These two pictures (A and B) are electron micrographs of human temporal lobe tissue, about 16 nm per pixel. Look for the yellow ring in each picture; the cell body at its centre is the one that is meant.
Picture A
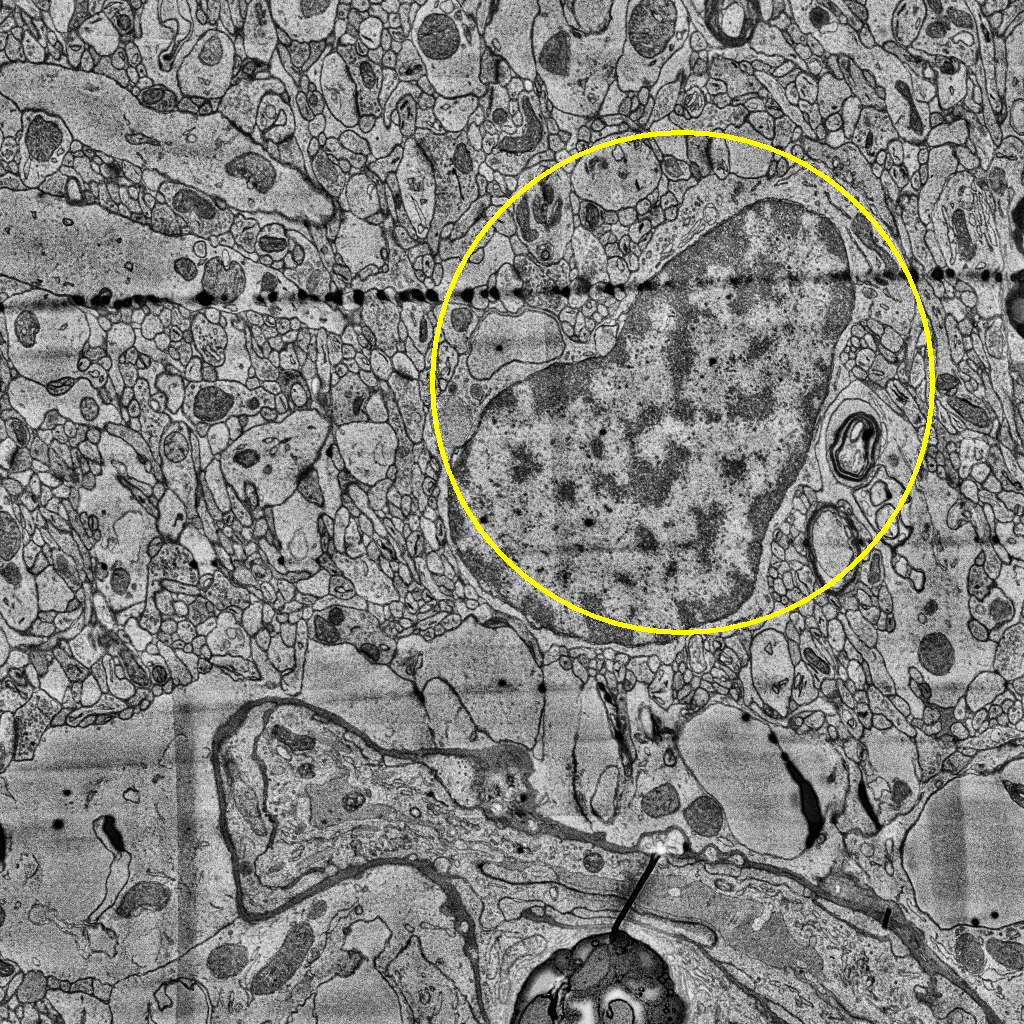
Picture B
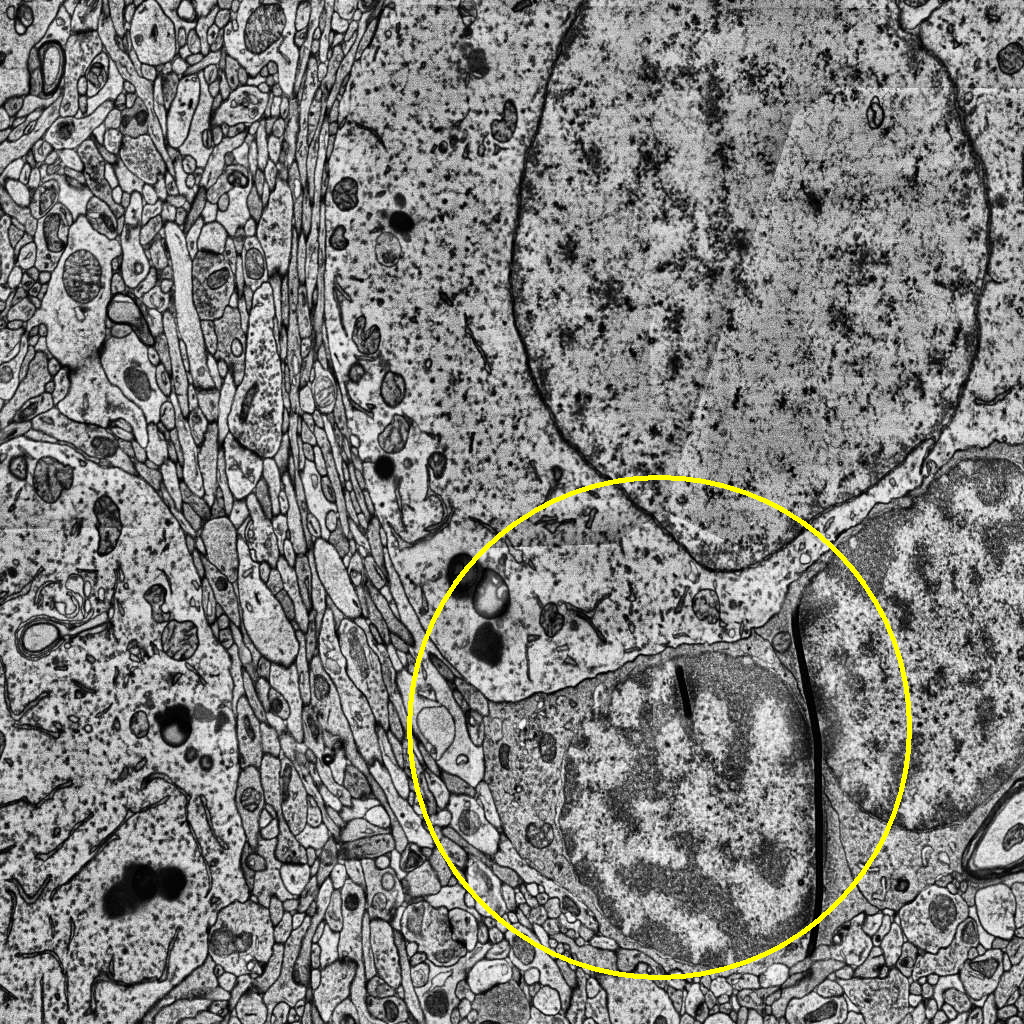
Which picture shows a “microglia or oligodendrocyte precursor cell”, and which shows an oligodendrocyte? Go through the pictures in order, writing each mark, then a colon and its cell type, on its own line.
A: microglia or oligodendrocyte precursor cell
B: oligodendrocyte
